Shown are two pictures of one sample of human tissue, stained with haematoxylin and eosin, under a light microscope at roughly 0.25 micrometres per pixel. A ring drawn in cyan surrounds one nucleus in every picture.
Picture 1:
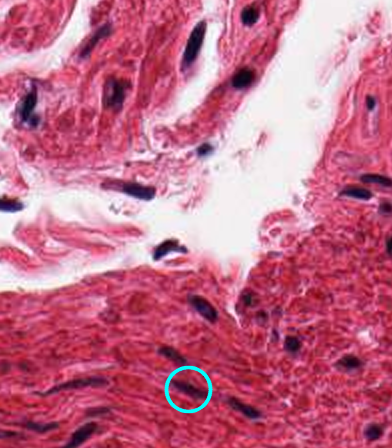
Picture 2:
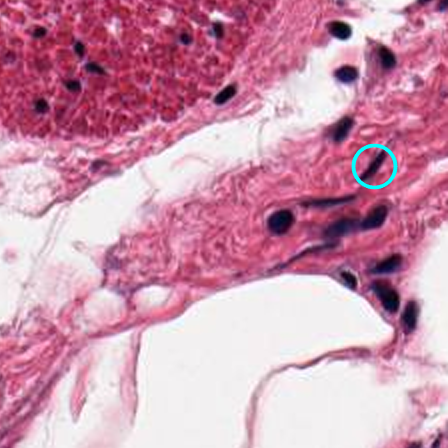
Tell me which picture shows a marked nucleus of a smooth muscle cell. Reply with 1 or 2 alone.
1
